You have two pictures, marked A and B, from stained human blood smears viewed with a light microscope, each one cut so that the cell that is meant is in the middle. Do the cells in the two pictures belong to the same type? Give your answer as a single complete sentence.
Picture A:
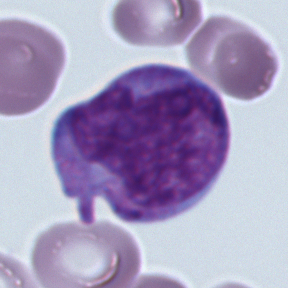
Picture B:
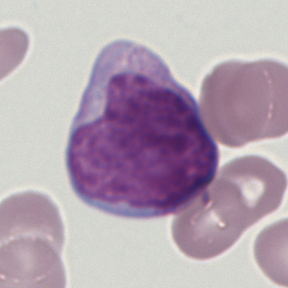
Yes, both cells are atypical promyelocytes.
